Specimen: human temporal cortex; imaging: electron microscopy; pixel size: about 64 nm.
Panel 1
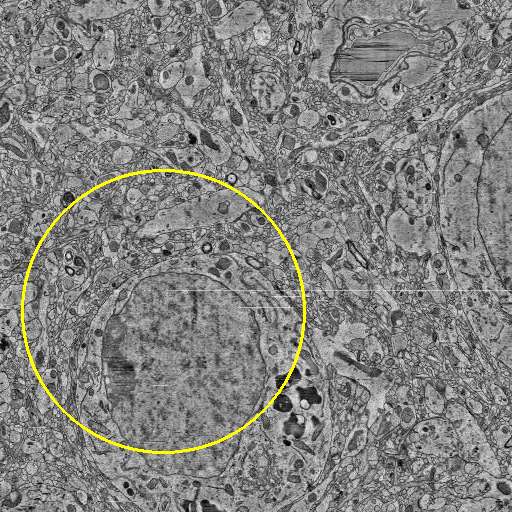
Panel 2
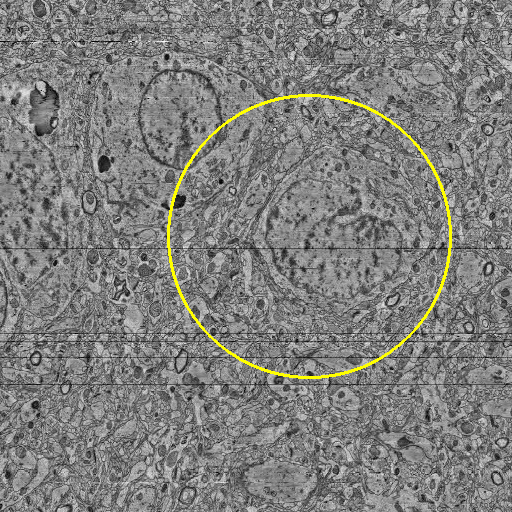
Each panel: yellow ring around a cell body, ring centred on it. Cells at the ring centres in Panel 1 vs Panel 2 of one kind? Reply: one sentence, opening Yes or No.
Yes, Panel 1 and Panel 2 have cells of one kind at the ring centres.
